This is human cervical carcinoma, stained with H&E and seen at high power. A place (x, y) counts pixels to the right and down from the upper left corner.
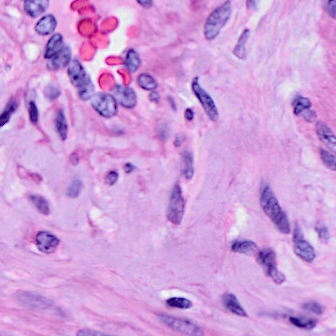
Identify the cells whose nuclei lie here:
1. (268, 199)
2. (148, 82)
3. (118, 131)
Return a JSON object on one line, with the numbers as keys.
{"1": "fibroblast", "2": "endothelial cell", "3": "smooth muscle cell"}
